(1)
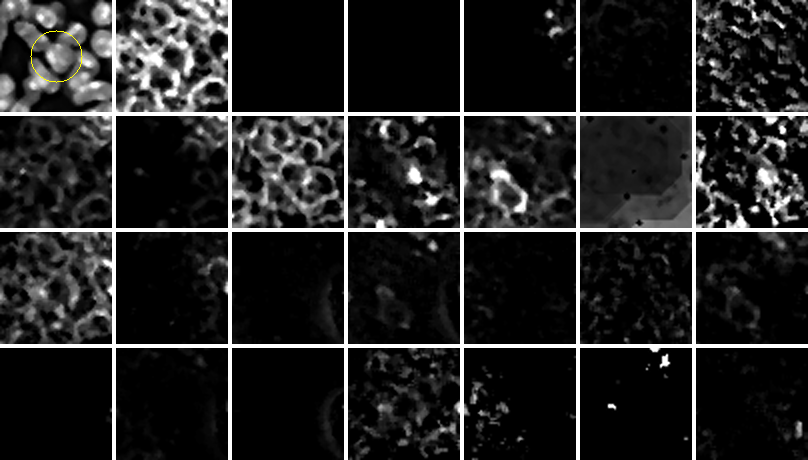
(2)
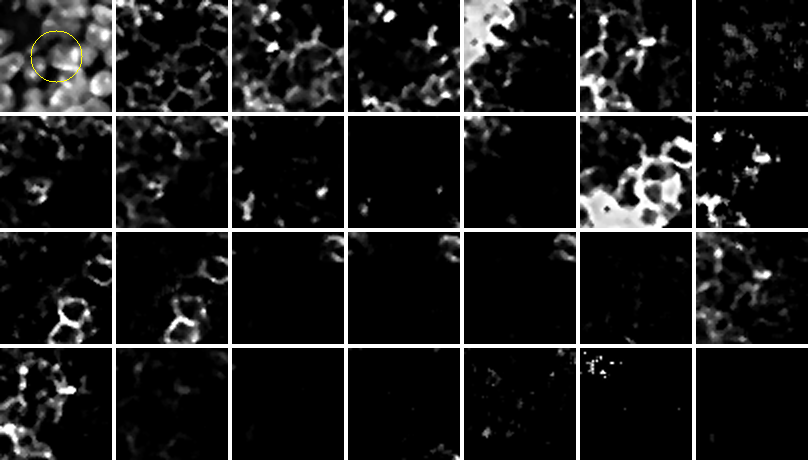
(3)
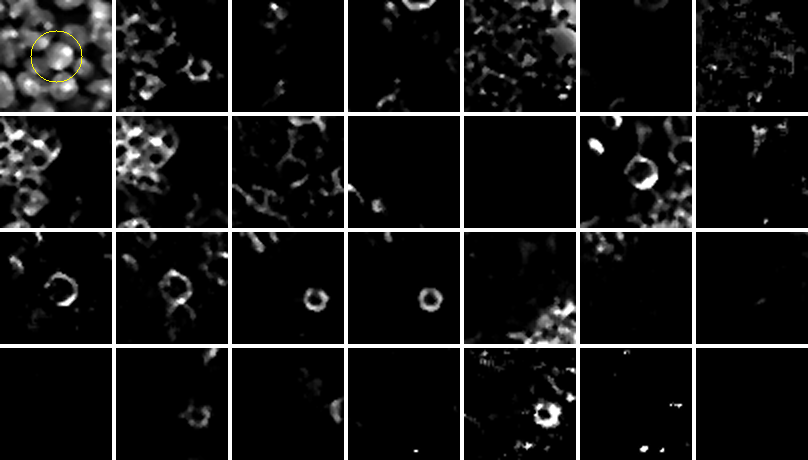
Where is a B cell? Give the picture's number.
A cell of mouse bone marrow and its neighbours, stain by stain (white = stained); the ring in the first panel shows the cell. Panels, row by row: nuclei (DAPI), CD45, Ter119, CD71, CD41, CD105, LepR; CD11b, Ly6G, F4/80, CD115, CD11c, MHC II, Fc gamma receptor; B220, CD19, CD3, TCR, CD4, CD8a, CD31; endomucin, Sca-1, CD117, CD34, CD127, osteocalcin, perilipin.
3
